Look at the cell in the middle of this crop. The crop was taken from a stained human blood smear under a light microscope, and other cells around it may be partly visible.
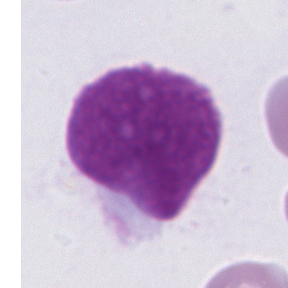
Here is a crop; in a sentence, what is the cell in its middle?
In the central position of this crop, the cell is a smudge cell.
